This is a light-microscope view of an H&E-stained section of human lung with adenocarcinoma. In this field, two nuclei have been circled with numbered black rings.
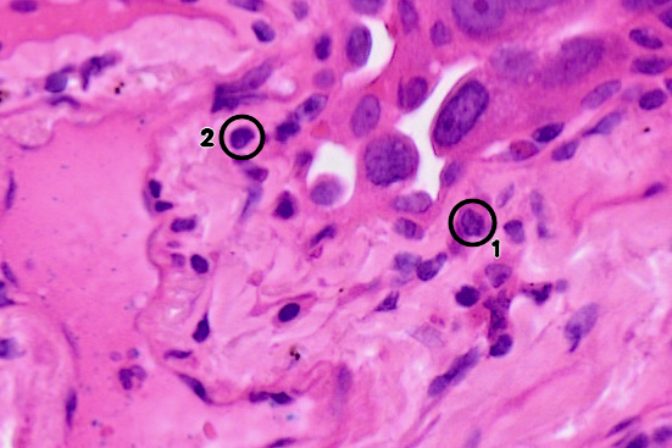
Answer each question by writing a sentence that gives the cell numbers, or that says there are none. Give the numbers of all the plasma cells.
Cell 1 stands alone among the numbered cells as a plasma cell.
